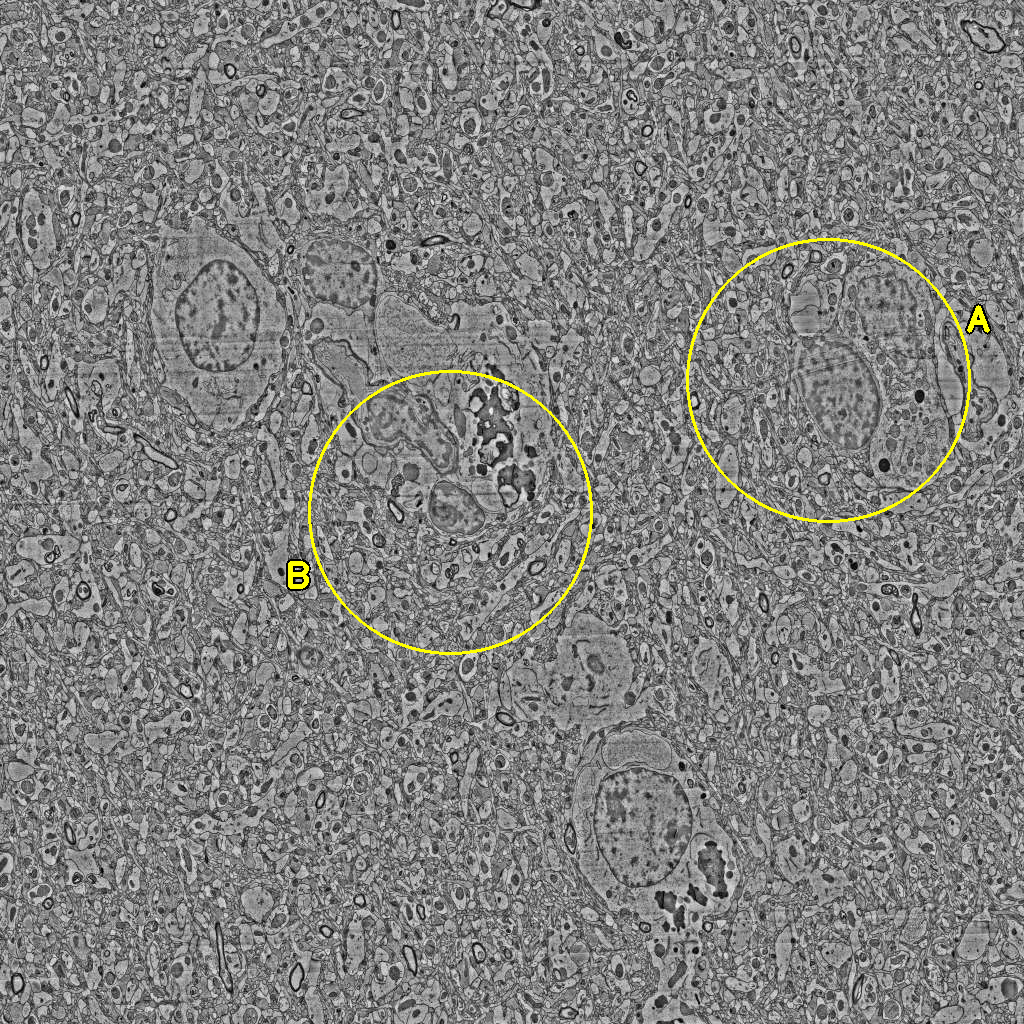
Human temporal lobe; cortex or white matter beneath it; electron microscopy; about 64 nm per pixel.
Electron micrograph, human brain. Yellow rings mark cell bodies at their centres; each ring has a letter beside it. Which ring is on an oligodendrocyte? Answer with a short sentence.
Ring A is centred on it.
